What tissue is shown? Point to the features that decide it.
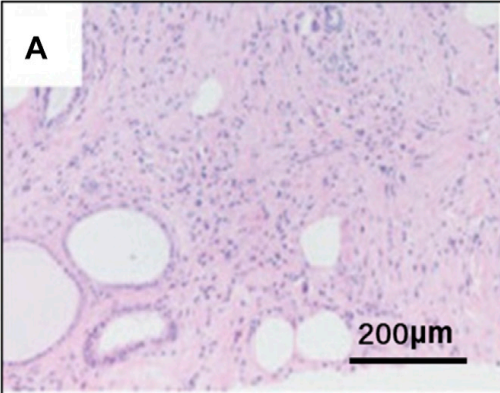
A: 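Breast tissue. Several rounded, partly dilated ducts lined by a thin epithelial layer. Ducts lie in a pink fibrous stroma. The stroma holds many scattered small cells.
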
